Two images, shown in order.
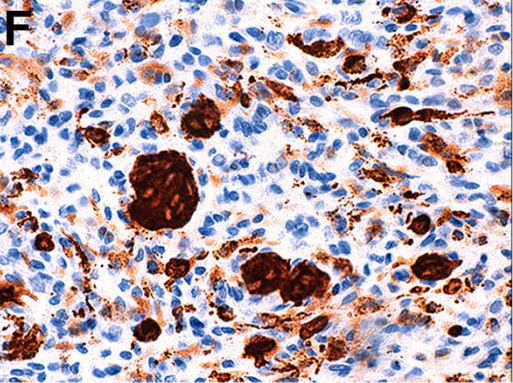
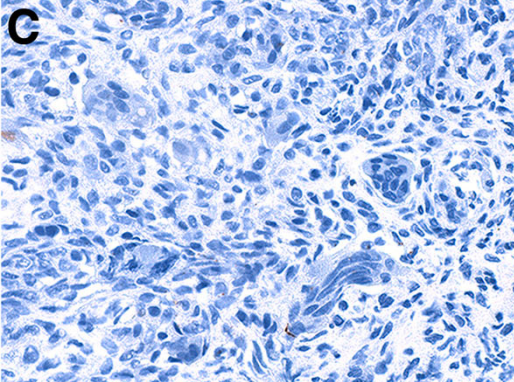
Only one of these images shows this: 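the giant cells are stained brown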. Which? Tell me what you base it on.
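Second image: large multinucleated cells show only pale blue cytoplasm with no brown. First image: large rounded cells are densely brown. The answer: the first image.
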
